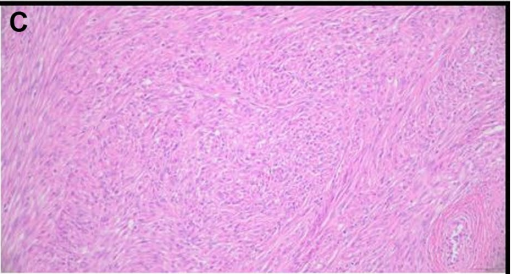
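Densely cellular tissue of spindle-shaped cells arranged in bundles that run and cross in different directions. Pink cells with elongated purple nuclei form fascicles, some cut lengthwise and some across, and a small blood vessel with a concentric pink wall lies at one edge.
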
